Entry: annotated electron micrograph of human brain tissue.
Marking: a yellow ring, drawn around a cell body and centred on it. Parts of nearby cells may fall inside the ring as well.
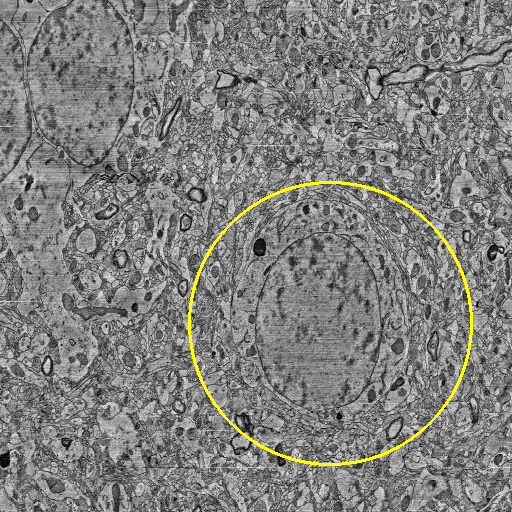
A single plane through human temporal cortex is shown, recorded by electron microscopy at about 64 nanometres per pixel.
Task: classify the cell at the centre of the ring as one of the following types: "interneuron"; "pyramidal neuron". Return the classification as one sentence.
The marked cell is classified as a pyramidal neuron.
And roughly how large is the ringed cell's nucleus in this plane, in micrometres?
In this plane the nucleus measures roughly 12 by 8 micrometers.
